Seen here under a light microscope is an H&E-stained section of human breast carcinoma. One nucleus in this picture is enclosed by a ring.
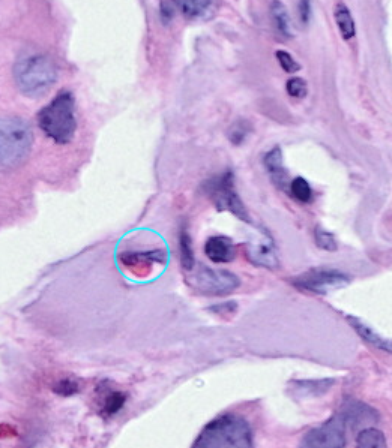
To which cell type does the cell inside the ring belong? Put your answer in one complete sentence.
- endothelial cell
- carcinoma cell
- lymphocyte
It is as an endothelial cell that the cell inside the ring is classified.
